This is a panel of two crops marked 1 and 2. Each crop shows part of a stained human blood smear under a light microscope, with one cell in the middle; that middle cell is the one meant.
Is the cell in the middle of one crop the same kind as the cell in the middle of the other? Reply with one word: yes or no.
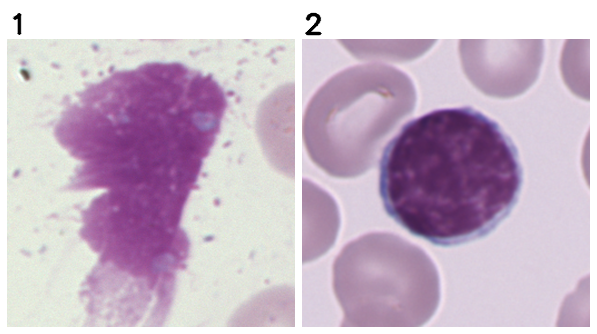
no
